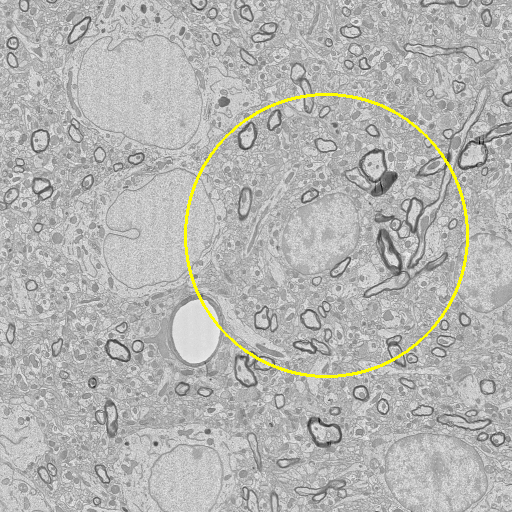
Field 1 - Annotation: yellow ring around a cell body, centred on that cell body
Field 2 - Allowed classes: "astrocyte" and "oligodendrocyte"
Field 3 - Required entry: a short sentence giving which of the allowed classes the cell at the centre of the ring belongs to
The centred cell is an oligodendrocyte.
